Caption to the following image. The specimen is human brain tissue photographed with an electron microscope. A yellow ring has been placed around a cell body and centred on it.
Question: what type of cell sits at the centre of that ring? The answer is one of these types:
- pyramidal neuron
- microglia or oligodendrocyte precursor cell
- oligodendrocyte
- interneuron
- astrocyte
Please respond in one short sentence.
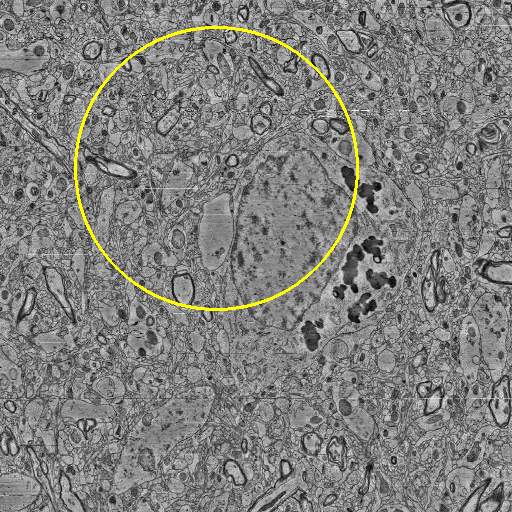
The ring surrounds the cell body of a microglial cell or oligodendrocyte precursor cell.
